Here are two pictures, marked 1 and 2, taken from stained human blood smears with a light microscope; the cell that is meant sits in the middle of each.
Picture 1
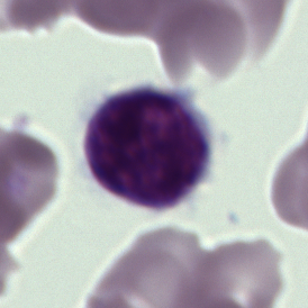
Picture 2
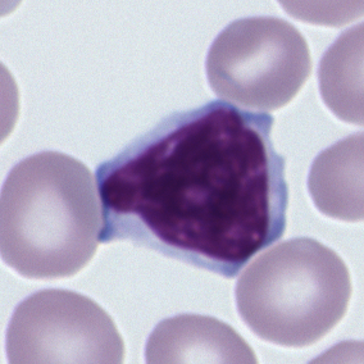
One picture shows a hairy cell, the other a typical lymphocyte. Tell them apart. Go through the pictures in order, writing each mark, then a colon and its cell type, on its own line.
1: hairy cell
2: typical lymphocyte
